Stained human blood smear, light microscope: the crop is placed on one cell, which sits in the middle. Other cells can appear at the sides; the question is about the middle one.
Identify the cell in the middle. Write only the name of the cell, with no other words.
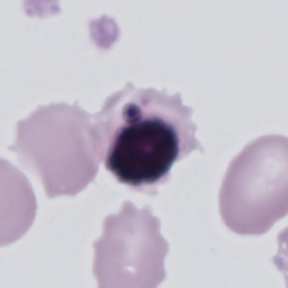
normoblast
